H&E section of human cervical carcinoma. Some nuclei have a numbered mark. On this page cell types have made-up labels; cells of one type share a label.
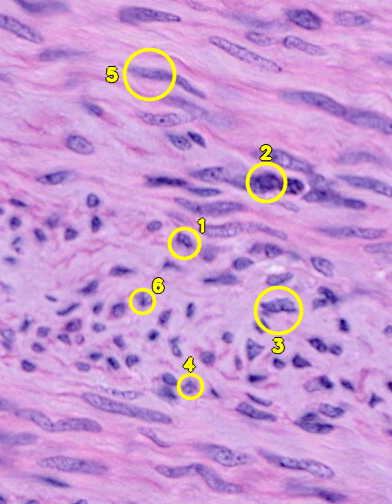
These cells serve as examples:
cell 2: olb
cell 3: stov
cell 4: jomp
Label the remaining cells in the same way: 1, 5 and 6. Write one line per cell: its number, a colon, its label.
1: jomp
5: jomp
6: jomp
